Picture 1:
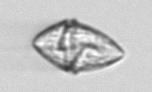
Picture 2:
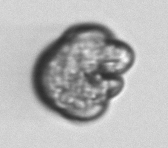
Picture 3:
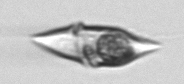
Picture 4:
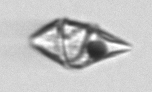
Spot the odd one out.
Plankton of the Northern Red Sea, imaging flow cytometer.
Picture 2 (Akashiwo among Gyrodinium).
